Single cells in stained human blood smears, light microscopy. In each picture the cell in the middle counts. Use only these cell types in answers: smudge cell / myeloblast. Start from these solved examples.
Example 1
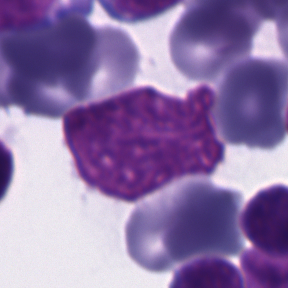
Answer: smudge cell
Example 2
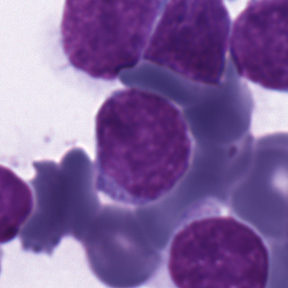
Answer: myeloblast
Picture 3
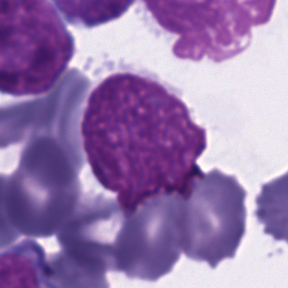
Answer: smudge cell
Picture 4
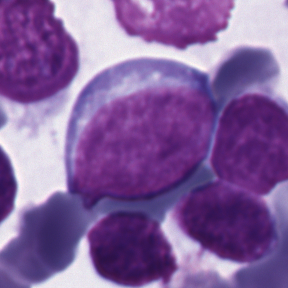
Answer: myeloblast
